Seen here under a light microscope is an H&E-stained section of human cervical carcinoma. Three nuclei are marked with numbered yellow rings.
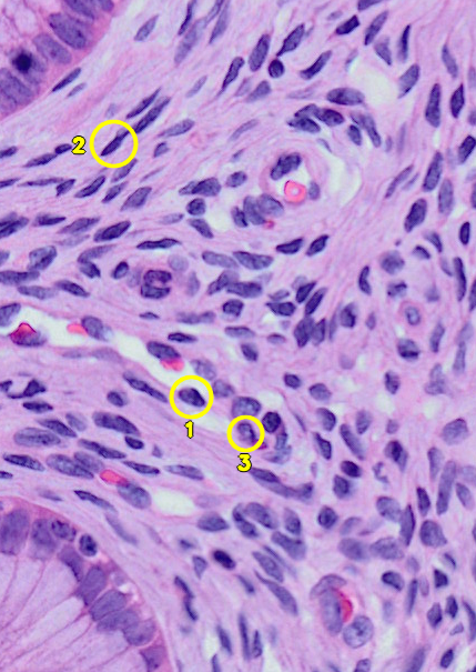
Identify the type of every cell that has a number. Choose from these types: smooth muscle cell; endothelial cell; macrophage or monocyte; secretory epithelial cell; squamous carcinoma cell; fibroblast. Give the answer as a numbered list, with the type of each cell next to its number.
1. endothelial cell
2. fibroblast
3. endothelial cell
